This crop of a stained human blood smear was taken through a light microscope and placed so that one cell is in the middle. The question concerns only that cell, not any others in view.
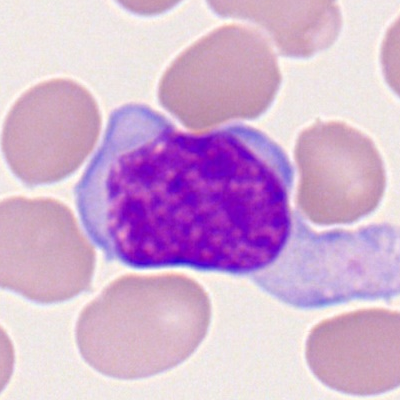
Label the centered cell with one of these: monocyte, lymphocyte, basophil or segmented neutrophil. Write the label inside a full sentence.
Among the cells in view, the one in the middle is a lymphocyte.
